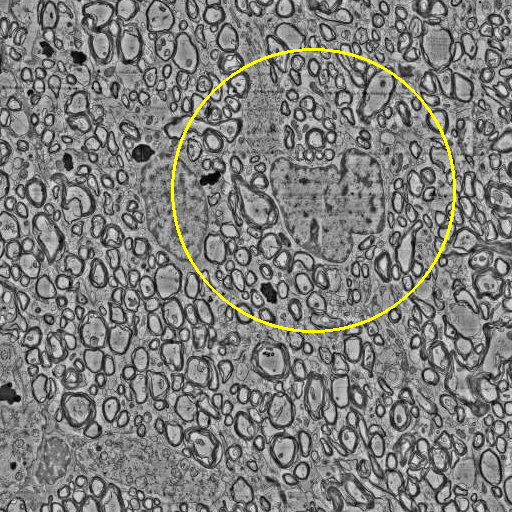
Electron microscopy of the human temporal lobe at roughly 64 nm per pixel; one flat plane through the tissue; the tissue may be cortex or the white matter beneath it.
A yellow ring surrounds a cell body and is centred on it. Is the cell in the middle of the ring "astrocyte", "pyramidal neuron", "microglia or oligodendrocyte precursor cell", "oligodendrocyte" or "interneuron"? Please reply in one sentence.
The ring is centred on a microglial cell or oligodendrocyte precursor cell.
